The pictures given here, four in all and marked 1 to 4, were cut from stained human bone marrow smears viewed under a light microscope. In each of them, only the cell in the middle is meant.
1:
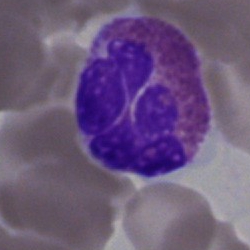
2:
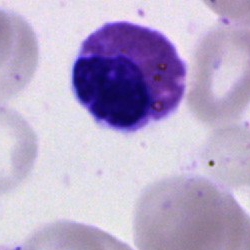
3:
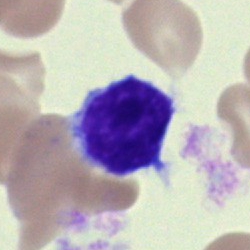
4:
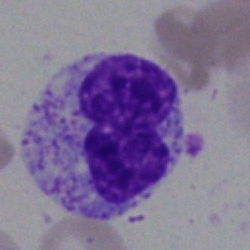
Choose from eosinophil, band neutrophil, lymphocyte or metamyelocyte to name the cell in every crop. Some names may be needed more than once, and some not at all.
1: eosinophil
2: eosinophil
3: lymphocyte
4: metamyelocyte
